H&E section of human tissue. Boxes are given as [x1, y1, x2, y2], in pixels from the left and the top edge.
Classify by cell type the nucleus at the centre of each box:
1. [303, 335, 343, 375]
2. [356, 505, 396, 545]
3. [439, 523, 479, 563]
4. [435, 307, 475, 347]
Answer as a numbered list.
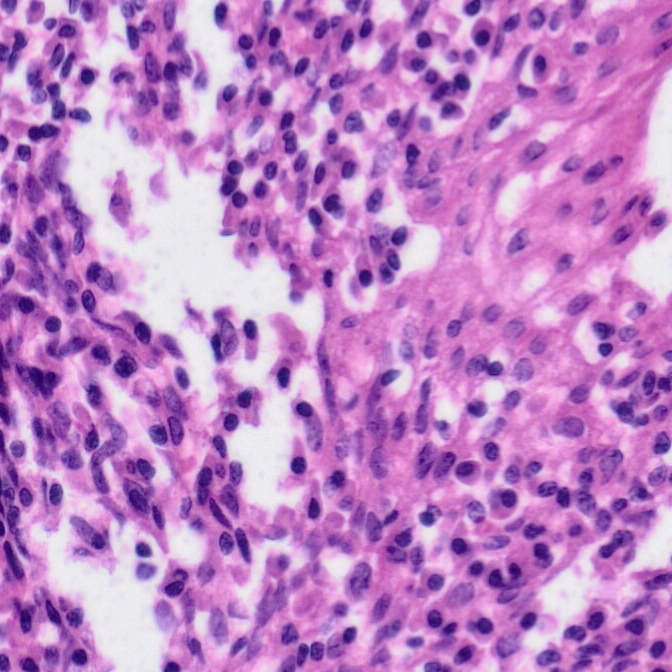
1. squamous epithelial cell
2. squamous epithelial cell
3. plasma cell
4. squamous epithelial cell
